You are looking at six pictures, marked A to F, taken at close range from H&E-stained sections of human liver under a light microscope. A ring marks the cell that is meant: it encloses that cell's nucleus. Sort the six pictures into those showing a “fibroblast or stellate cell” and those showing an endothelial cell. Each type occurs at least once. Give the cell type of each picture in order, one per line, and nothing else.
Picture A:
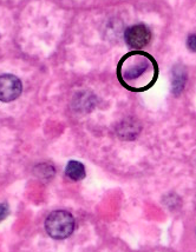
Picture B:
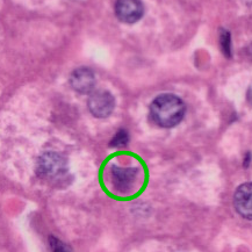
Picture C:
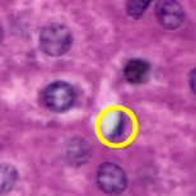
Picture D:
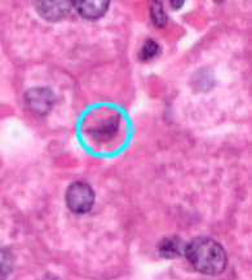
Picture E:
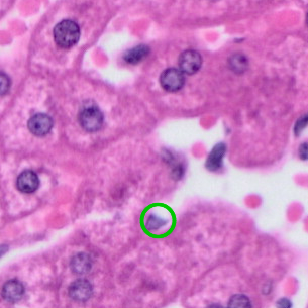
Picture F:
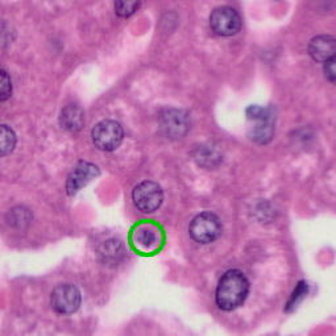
fibroblast or stellate cell
endothelial cell
endothelial cell
endothelial cell
endothelial cell
fibroblast or stellate cell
